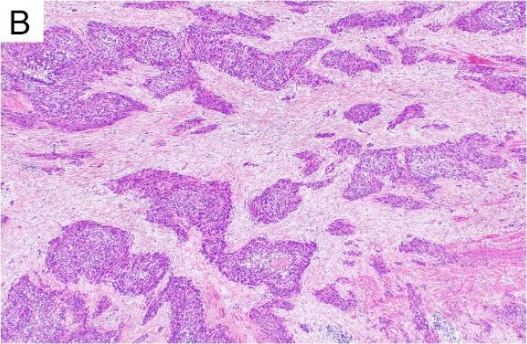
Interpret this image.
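Groups of tumor cells of varied size and irregular, angular outline, deeply purple from their crowded nuclei, lie within abundant dense fibroblastic stroma. The stroma is pale pink, fibrous and streaming, with scattered spindle nuclei, and forms broad bands between the nests. Some nests are large sheets, others small islands and cords; their edges are sharp against the stroma.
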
